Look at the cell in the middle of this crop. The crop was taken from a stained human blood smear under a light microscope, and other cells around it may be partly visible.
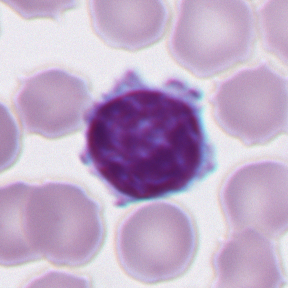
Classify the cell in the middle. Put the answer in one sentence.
Of the cells in this crop, the central one is a typical lymphocyte.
